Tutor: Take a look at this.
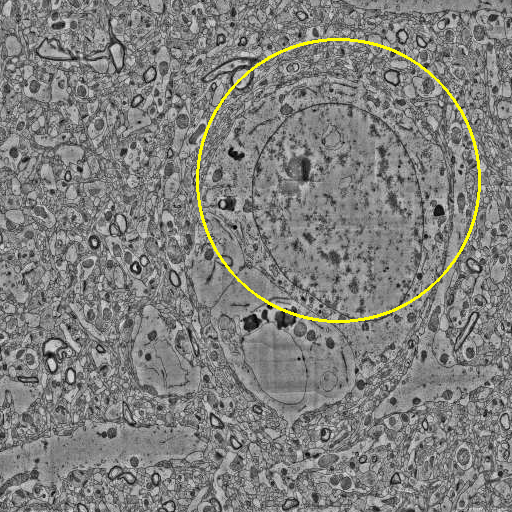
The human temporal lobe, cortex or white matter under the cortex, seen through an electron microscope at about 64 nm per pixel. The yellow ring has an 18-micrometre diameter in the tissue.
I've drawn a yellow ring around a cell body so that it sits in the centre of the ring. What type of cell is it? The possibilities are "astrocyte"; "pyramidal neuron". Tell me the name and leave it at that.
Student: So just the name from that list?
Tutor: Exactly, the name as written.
pyramidal neuron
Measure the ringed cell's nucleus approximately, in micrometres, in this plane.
In this plane the nucleus measures roughly 15 by 11 micrometers.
